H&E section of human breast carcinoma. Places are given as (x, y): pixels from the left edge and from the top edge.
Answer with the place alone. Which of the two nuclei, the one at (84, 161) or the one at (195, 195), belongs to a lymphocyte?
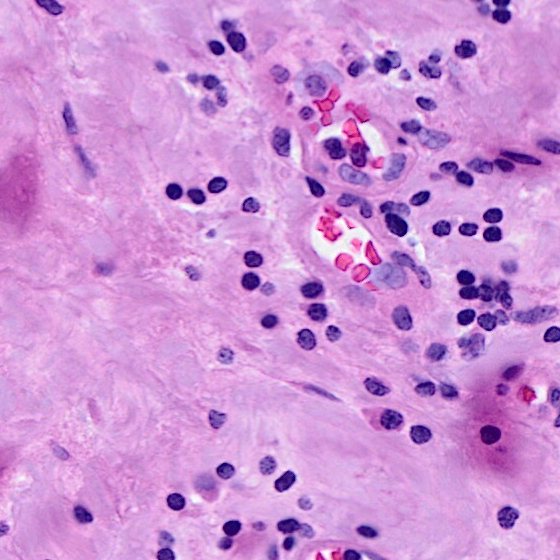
(195, 195)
